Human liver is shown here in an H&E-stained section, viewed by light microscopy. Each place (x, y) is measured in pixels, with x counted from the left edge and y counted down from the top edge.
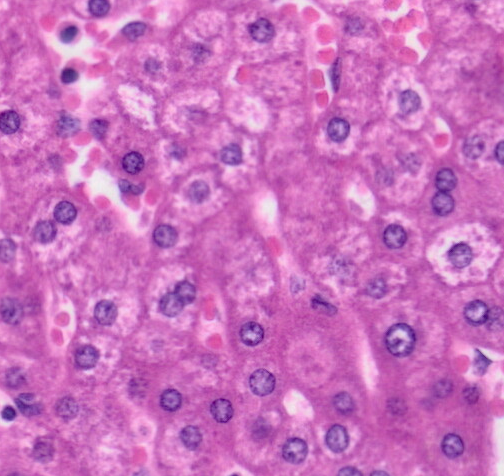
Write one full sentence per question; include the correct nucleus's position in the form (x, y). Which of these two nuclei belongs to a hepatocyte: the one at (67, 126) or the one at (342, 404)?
The nucleus at (342, 404) is housed in a hepatocyte.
